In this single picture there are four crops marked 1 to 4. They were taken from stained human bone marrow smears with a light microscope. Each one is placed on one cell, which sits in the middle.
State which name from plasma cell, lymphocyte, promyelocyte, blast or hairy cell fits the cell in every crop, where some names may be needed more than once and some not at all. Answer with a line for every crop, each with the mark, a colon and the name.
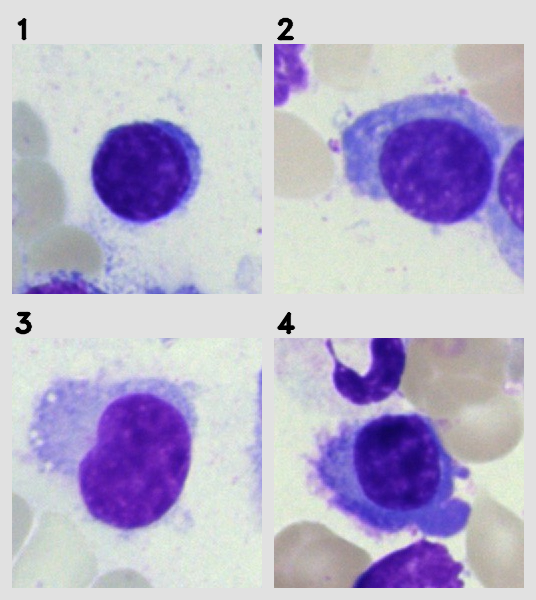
1: lymphocyte
2: plasma cell
3: hairy cell
4: plasma cell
